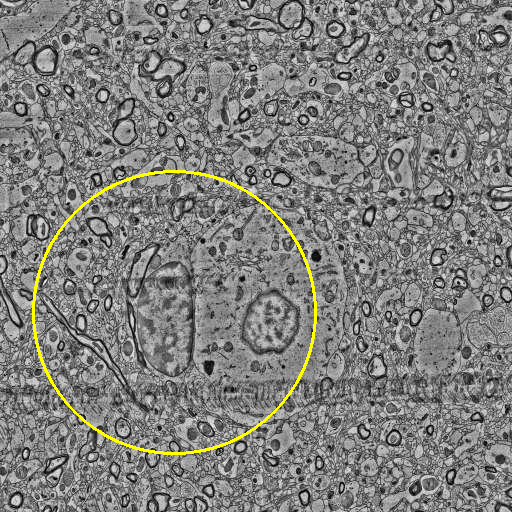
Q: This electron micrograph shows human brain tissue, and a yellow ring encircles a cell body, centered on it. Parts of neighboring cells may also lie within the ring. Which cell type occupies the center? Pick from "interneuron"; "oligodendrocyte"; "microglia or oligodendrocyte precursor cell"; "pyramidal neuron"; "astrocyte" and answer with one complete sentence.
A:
What sits at the ring's center in this micrograph is an oligodendrocyte, among those choices.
